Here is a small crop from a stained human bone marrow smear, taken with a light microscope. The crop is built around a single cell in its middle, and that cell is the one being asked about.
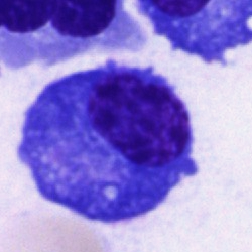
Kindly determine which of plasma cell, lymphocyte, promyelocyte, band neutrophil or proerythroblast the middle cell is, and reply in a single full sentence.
As for the central cell, it is a plasma cell.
